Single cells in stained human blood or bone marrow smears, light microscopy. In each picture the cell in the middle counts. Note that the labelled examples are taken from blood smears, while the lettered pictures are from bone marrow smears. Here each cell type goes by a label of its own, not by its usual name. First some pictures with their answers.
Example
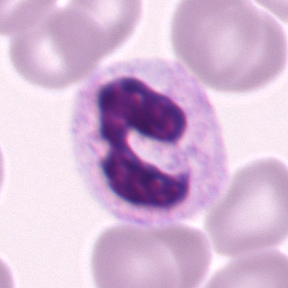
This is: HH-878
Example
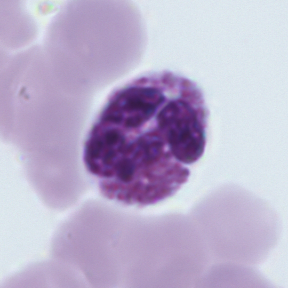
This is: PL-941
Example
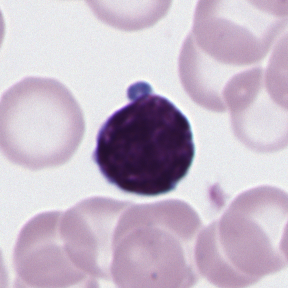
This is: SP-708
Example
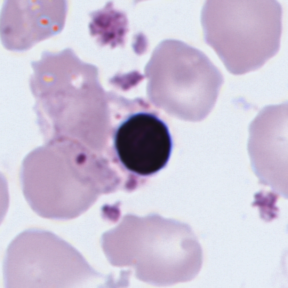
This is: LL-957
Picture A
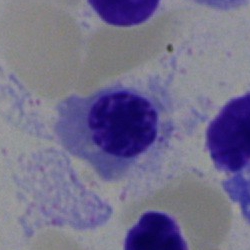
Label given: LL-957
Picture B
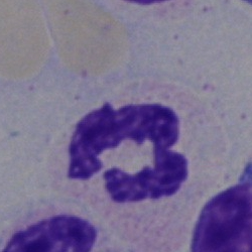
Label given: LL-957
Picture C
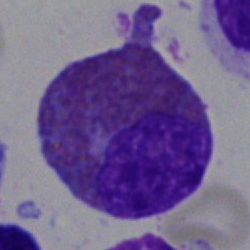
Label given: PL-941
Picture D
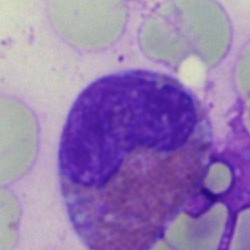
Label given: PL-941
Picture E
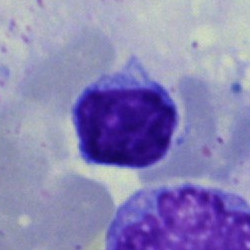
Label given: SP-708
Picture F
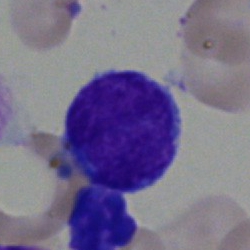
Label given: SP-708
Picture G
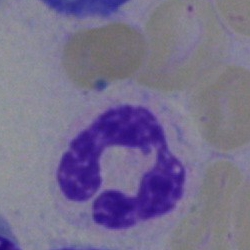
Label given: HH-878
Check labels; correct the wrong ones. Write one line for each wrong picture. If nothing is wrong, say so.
B: change LL-957 to HH-878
